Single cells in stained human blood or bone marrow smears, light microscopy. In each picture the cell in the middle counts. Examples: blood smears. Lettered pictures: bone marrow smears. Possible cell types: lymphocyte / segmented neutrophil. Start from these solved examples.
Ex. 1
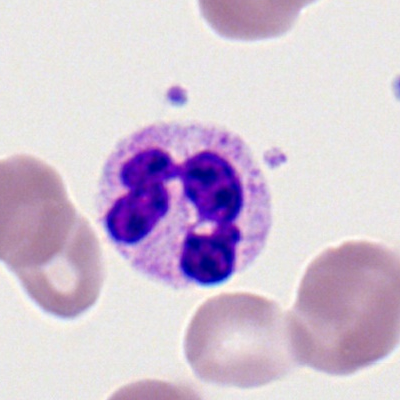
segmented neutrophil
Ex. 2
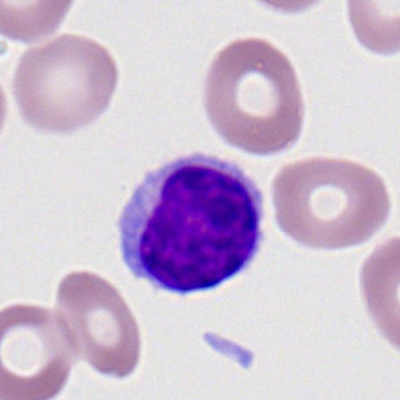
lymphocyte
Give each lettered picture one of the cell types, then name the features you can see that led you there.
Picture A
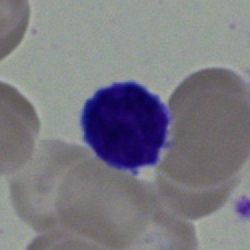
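Label: lymphocyte. The dark nucleus fills almost the whole cell.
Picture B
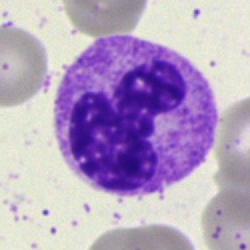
Label: segmented neutrophil. The cytoplasm is evenly filled with fine purple granules.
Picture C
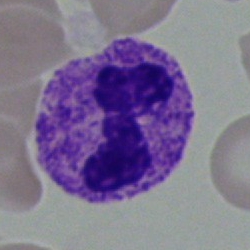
Label: segmented neutrophil. The cytoplasm is densely filled with purple granules.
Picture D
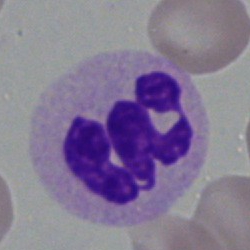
Label: segmented neutrophil. The cytoplasm is plentiful and pale pinkish-lilac.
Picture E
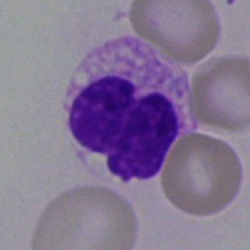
Label: segmented neutrophil. The cytoplasm holds many purple granules.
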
